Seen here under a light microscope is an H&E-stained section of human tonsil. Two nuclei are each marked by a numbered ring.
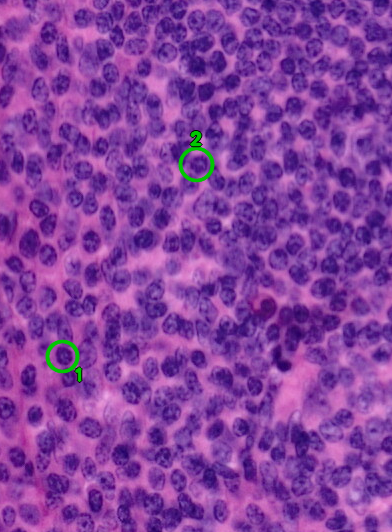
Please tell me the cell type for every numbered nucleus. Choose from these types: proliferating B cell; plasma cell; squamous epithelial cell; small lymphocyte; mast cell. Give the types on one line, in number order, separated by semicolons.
plasma cell; small lymphocyte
